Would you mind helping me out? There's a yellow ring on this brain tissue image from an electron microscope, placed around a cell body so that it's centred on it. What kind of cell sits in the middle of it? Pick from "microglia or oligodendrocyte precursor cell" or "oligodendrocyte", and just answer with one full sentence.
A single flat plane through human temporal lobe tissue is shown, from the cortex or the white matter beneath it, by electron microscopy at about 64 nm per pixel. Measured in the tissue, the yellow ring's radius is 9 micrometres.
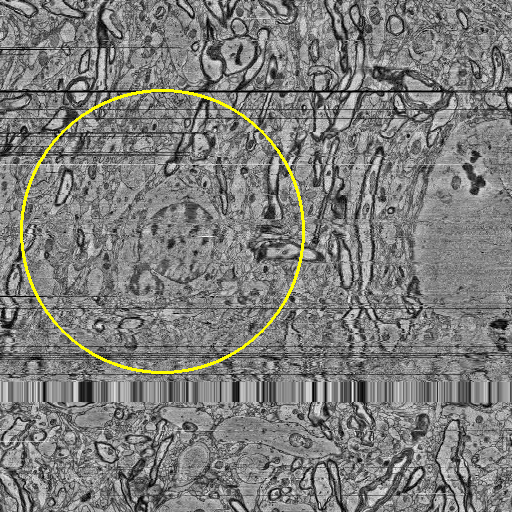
What sits in the middle of that yellow ring is a microglial cell or oligodendrocyte precursor cell, from your choices.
